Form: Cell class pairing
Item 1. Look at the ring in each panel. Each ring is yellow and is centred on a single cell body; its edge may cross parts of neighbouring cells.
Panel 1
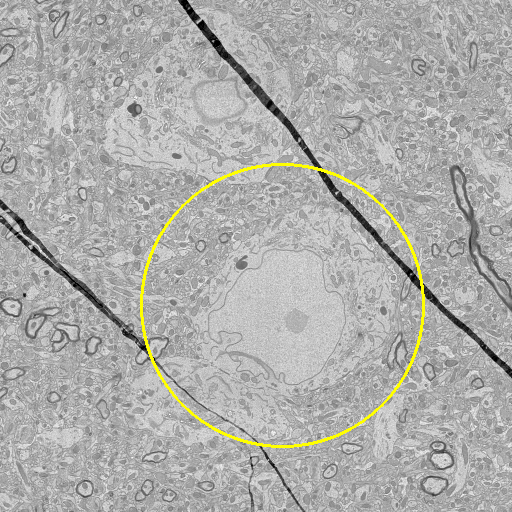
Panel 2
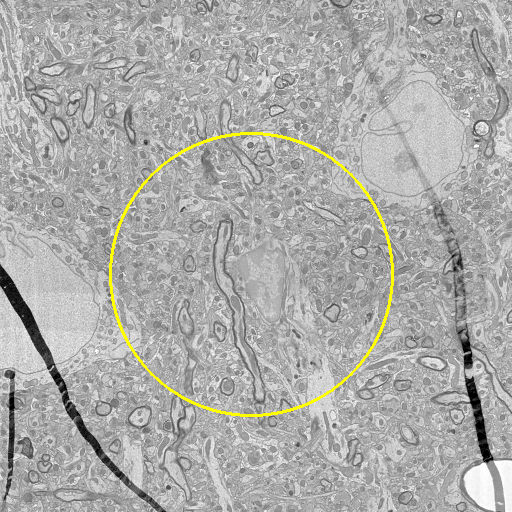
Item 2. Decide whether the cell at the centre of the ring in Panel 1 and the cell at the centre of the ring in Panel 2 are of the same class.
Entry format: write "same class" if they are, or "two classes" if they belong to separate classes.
two classes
